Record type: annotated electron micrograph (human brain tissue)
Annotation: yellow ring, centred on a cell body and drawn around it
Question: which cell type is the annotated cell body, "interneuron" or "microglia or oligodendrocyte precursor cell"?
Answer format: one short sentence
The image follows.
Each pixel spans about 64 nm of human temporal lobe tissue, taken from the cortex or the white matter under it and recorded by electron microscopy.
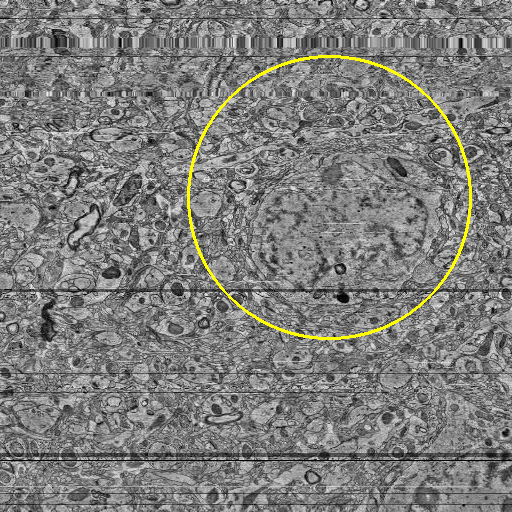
The annotated cell body is that of an interneuron.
